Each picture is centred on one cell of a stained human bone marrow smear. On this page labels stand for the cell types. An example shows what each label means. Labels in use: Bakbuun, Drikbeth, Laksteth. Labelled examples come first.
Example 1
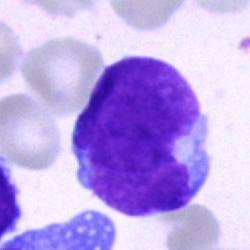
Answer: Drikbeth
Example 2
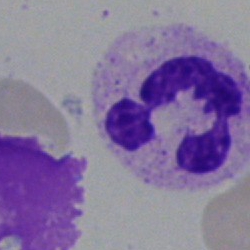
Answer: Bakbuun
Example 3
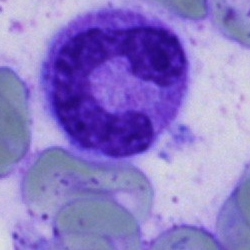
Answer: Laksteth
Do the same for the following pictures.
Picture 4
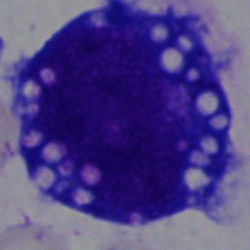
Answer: Drikbeth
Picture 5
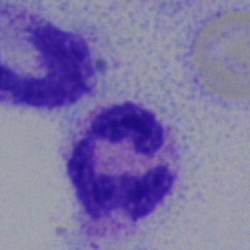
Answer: Bakbuun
